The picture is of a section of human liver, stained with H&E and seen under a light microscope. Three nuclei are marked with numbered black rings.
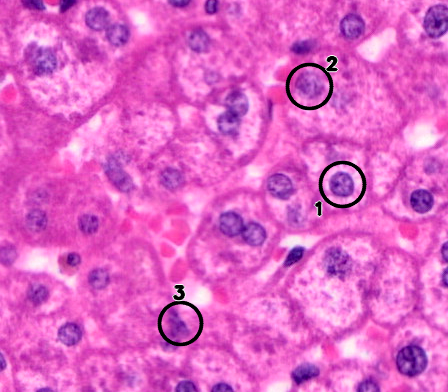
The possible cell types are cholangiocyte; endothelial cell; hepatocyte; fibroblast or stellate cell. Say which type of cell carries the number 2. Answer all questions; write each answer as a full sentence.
The cell identified by the number 2 is a hepatocyte.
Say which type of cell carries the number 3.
Recognised here as an endothelial cell is the cell numbered 3.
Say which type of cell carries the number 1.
What the number 1 marks in this field is a hepatocyte.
